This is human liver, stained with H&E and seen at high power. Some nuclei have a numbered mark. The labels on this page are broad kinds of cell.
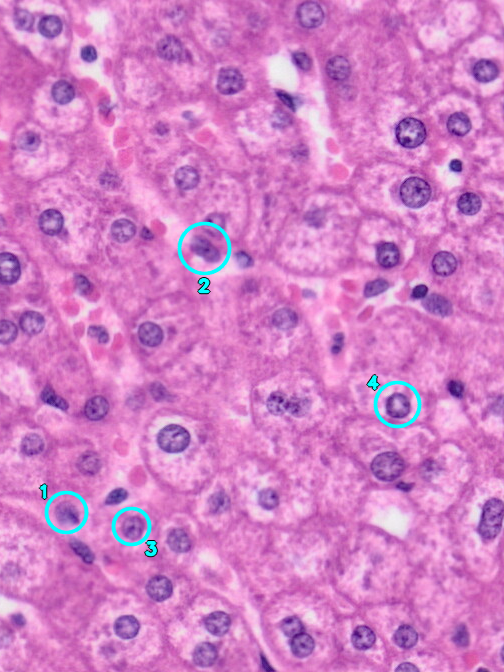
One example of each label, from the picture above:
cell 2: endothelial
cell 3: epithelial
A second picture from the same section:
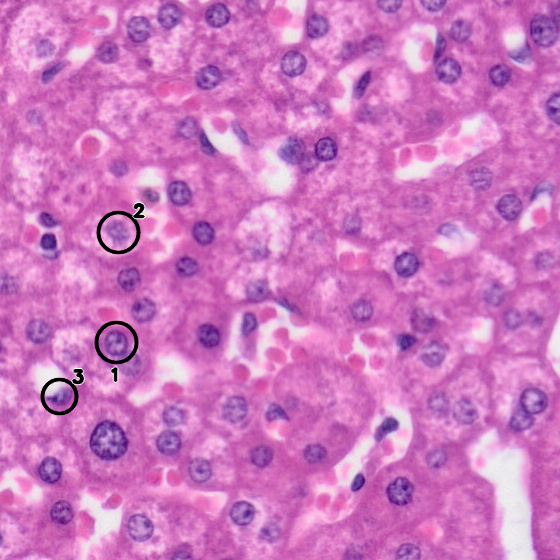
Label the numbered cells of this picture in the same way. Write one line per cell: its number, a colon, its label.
1: epithelial
2: epithelial
3: endothelial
